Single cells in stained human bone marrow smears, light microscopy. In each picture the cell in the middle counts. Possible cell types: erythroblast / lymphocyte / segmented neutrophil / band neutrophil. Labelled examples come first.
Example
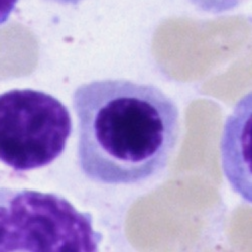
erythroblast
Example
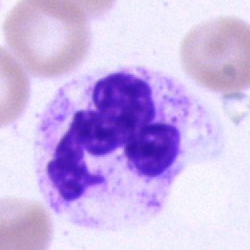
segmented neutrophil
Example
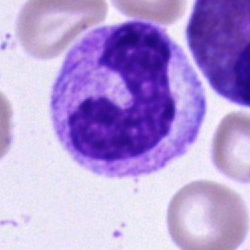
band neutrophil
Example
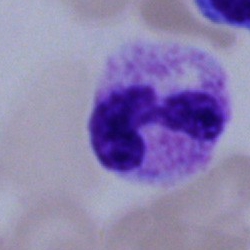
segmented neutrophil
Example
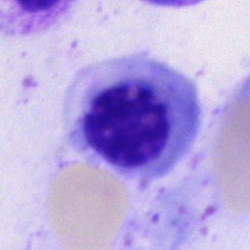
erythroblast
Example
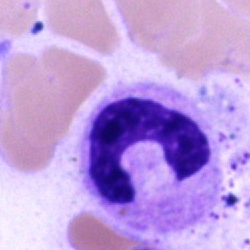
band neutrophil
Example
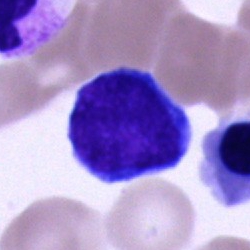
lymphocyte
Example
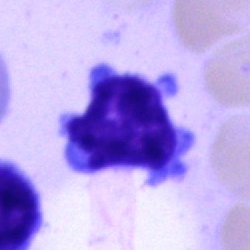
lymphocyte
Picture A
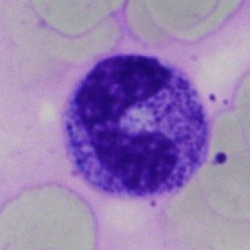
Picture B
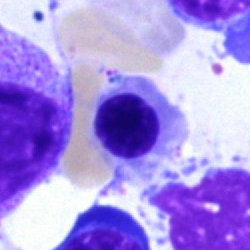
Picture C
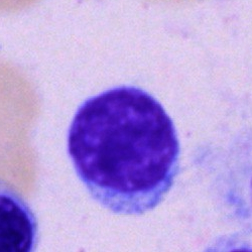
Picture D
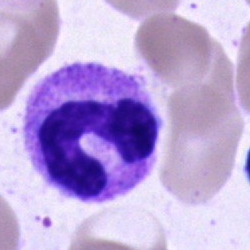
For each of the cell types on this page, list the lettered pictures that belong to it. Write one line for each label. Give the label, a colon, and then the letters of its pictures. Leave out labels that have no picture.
erythroblast: B
lymphocyte: C
band neutrophil: A, D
